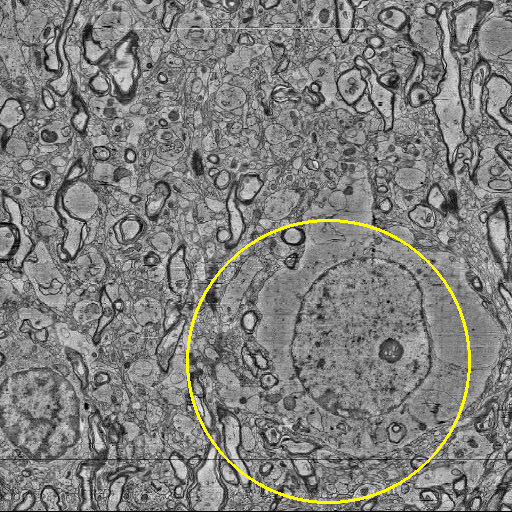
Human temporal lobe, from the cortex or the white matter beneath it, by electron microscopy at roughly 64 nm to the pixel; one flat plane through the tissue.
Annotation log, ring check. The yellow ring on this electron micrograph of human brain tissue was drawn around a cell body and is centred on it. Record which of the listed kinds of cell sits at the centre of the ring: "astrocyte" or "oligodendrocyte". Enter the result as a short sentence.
The cell at the centre of the ring is an astrocyte.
